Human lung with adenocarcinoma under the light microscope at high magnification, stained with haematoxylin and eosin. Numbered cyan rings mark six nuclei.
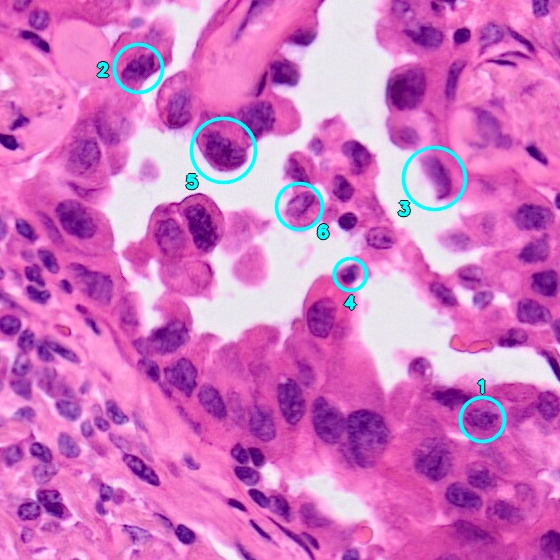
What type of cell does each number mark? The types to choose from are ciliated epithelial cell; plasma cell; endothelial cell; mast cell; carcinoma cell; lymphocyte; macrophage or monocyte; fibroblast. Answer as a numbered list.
1. carcinoma cell
2. carcinoma cell
3. carcinoma cell
4. lymphocyte
5. carcinoma cell
6. macrophage or monocyte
